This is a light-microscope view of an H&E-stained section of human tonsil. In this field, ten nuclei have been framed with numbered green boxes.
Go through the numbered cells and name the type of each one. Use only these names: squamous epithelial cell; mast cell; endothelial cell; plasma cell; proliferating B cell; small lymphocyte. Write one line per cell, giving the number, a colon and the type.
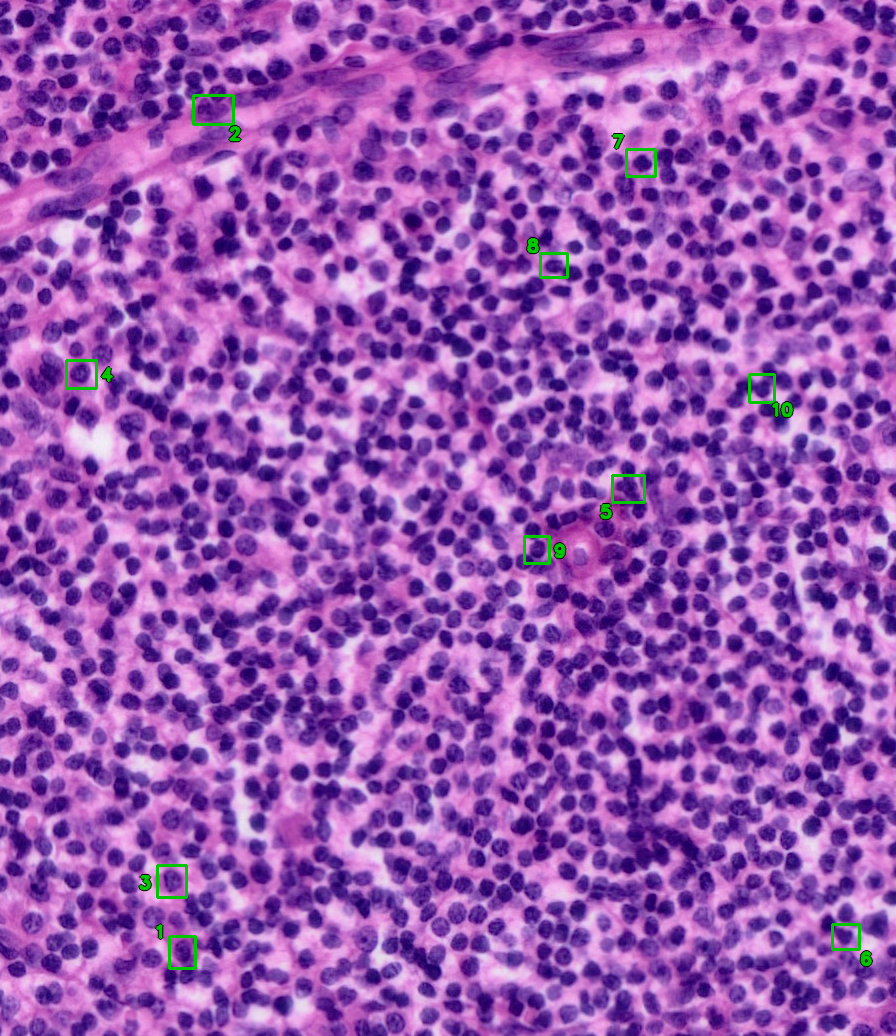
1: plasma cell
2: endothelial cell
3: plasma cell
4: plasma cell
5: small lymphocyte
6: small lymphocyte
7: small lymphocyte
8: small lymphocyte
9: small lymphocyte
10: small lymphocyte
